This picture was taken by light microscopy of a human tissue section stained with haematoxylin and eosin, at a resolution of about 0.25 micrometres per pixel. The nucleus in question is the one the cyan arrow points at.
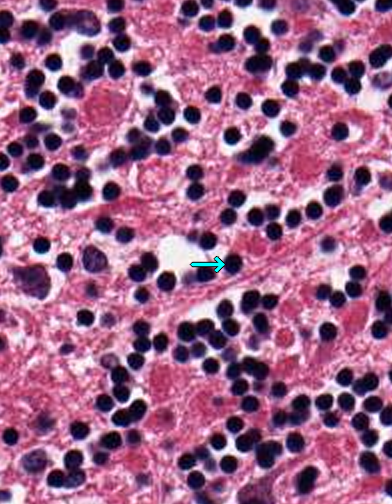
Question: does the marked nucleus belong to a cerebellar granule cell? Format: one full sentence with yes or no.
Yes, the marked nucleus is identified as that of a cerebellar granule cell.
